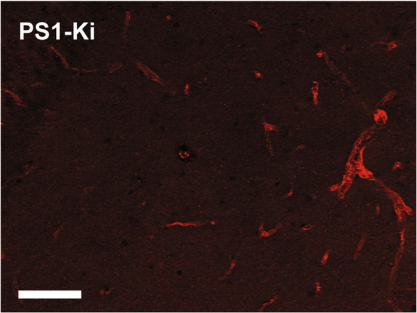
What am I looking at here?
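Brain tissue with red fluorescence confined to blood vessels, which appear as thin elongated, curving and branching profiles, one larger branching vessel at the right. The parenchyma between the vessels is dark, and no green deposits are seen.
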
